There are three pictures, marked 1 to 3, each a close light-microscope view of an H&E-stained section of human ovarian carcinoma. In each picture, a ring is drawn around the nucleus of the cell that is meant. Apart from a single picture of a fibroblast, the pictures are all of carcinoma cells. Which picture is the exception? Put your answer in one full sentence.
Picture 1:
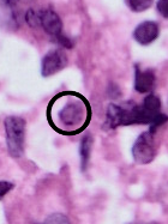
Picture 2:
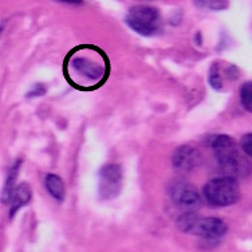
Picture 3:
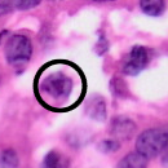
The fibroblast is the one in picture 2.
